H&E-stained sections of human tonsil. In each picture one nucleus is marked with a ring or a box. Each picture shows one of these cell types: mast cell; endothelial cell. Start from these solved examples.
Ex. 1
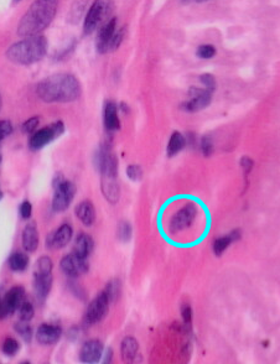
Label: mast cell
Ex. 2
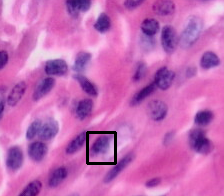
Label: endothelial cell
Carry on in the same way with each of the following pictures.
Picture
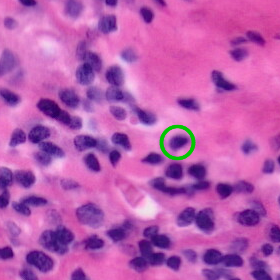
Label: mast cell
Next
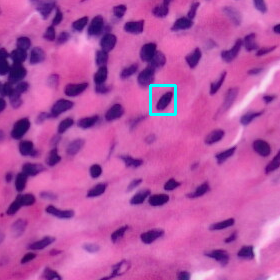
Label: mast cell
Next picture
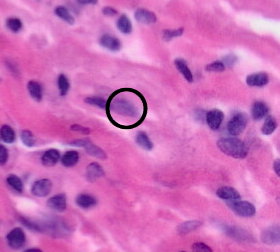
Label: endothelial cell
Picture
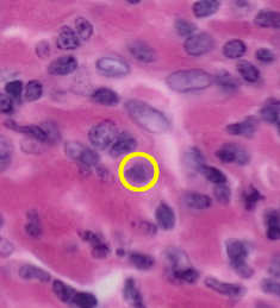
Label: mast cell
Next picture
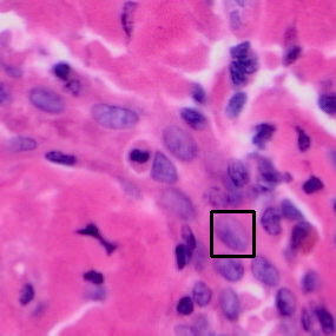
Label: endothelial cell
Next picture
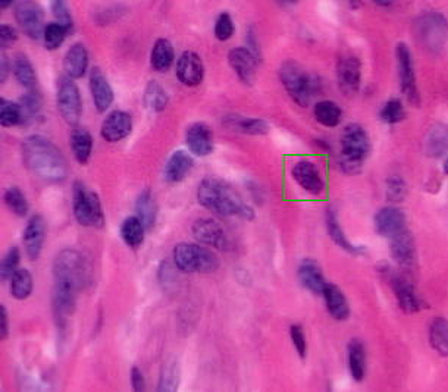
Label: mast cell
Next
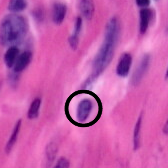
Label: mast cell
